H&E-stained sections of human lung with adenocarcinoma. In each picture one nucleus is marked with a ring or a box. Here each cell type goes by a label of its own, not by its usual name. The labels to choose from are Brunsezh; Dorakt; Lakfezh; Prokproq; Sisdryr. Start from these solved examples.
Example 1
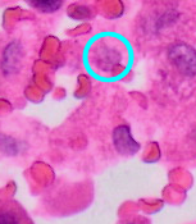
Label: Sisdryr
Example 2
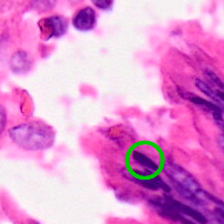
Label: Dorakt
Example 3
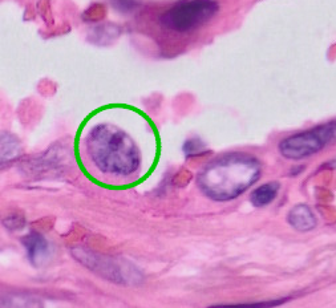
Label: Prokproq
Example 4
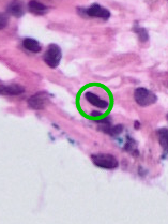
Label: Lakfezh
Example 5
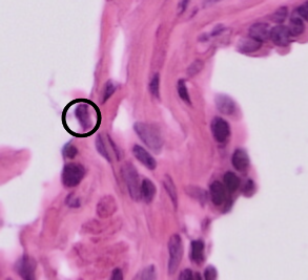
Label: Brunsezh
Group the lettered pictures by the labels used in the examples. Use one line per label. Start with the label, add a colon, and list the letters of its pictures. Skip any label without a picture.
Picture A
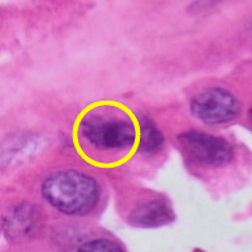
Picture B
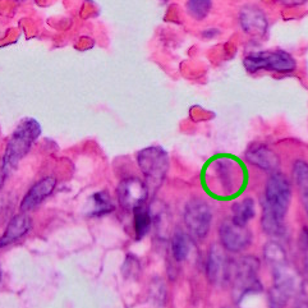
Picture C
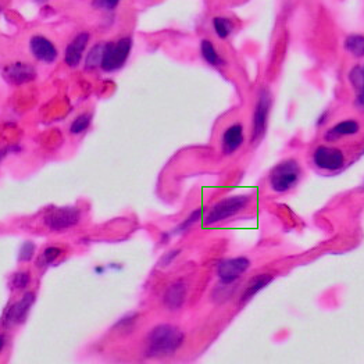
Brunsezh: C
Dorakt: B
Prokproq: A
